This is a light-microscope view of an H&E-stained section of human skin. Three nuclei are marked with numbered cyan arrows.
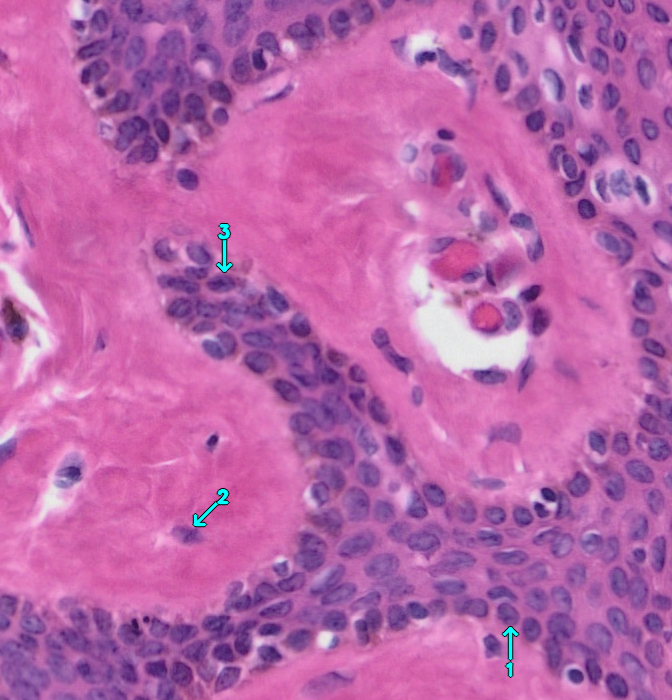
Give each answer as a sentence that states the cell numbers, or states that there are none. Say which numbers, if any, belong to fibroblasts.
Only the cell numbered 2 is a fibroblast, and the others are something else.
